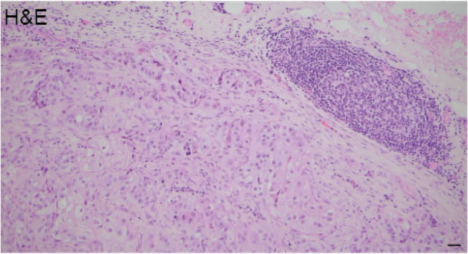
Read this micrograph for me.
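On the left and below, nests and cords of large polygonal cells with ample pink cytoplasm and oval purple nuclei are packed together, separated by thin pale fibrous strands. In the upper right a sharply bounded, oval, dense blue-purple aggregate stands out: it is made of crowded small round cells with dark nuclei and little cytoplasm, clearly unlike the larger tumour cells. Above it lies looser pale pink fibrous tissue with scattered spindle-shaped nuclei. The contrast between the dark lymphoid aggregate and the pink tumour nests is the main thing to notice.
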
